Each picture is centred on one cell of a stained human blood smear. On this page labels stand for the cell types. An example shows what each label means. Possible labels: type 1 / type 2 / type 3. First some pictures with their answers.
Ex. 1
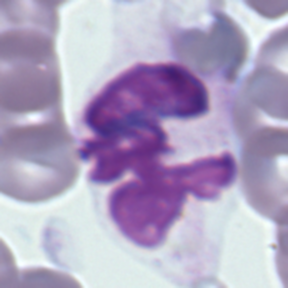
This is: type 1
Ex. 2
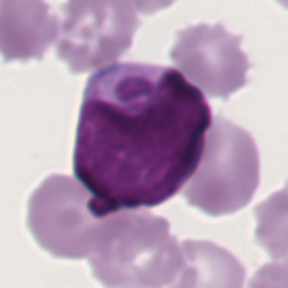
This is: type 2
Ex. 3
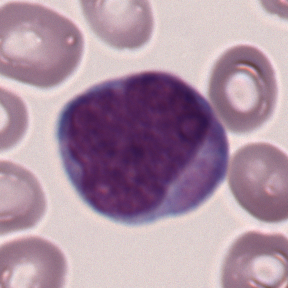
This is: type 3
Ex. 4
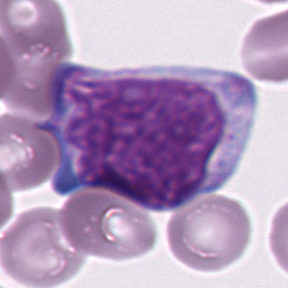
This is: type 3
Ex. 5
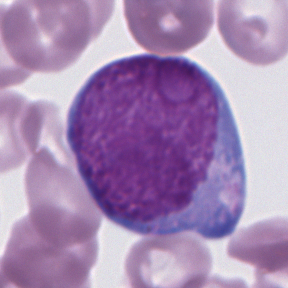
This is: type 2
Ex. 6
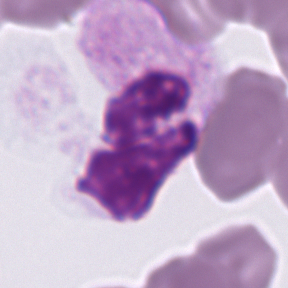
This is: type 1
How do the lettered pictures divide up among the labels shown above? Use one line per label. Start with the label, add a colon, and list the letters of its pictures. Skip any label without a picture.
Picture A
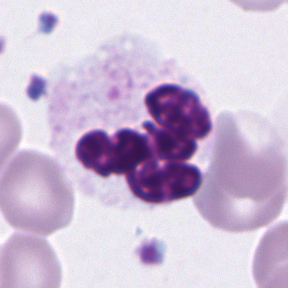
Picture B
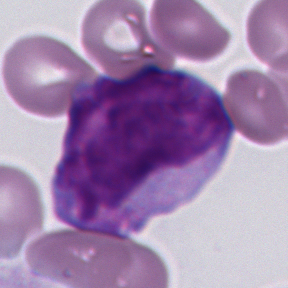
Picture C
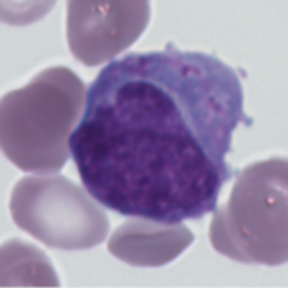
type 1: A
type 3: B, C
